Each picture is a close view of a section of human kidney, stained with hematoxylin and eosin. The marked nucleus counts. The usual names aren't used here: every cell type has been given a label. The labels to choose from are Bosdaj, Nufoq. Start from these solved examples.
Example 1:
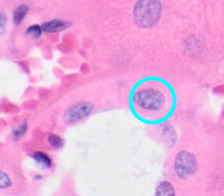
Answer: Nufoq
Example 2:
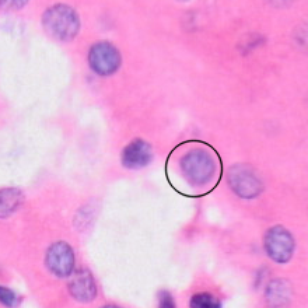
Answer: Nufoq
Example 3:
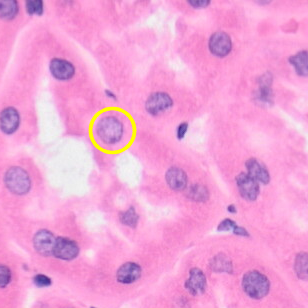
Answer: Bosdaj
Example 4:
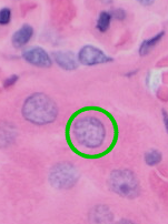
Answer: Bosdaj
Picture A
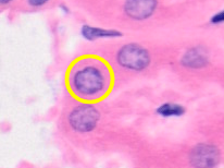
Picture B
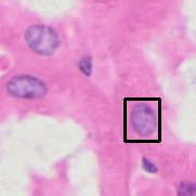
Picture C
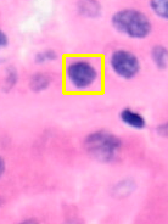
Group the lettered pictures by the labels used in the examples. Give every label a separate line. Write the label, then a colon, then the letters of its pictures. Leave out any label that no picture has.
Bosdaj: A, B
Nufoq: C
